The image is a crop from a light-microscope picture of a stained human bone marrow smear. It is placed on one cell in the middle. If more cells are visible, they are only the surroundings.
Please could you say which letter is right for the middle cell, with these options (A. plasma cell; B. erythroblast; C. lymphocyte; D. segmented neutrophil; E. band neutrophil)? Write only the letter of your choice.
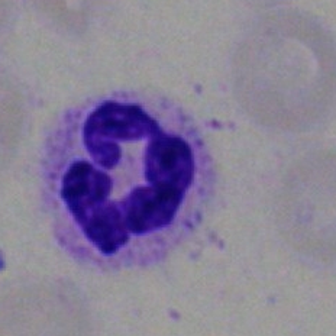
D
